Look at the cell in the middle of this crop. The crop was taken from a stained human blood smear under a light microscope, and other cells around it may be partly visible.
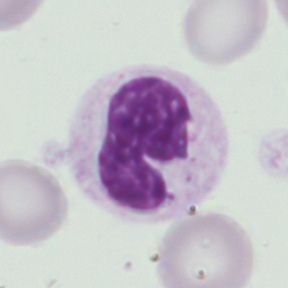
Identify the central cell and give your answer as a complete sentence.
In this crop, the cell at the very middle is a band neutrophil.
